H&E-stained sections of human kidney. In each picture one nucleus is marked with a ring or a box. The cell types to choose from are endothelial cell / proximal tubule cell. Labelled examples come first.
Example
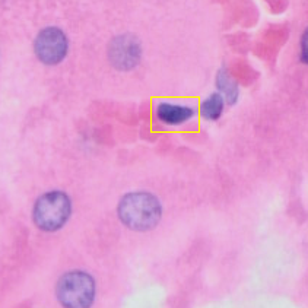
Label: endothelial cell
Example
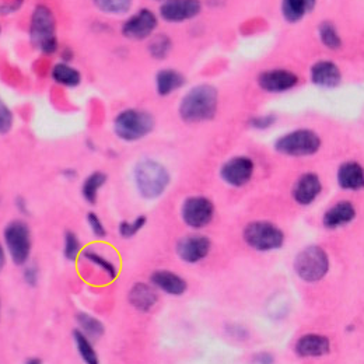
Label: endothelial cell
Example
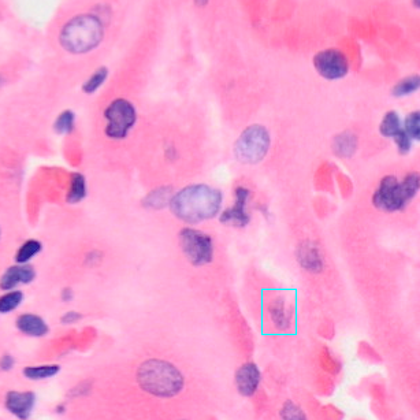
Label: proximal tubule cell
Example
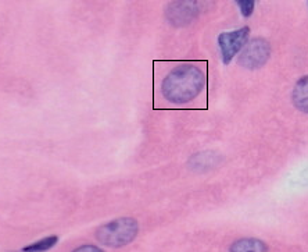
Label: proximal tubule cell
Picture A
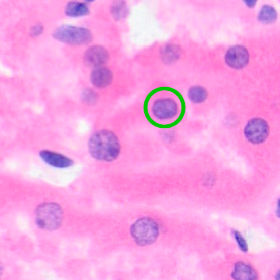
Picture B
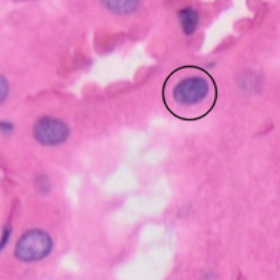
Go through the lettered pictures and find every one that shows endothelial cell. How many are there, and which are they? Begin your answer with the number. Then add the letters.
0, none of them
